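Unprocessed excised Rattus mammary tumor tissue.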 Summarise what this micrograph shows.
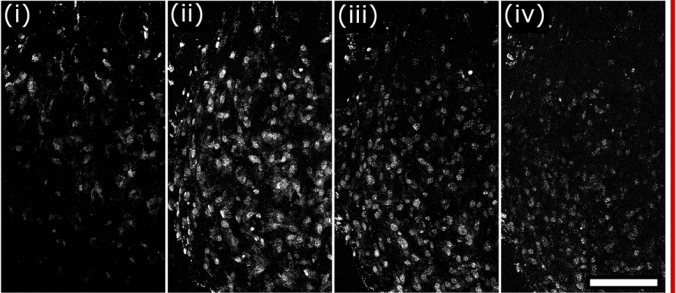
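In the second strip the nuclei are most densely crowded and brightest, packed closely side by side across most of the field. The first strip shows fewer, fainter nuclei along with some irregular, less defined bright shapes. In the third and fourth strips the nuclei are still recognisable as separate spots but become progressively dimmer and sparser. Cytoplasm and cell borders are not made out; only the nuclei stand out.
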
